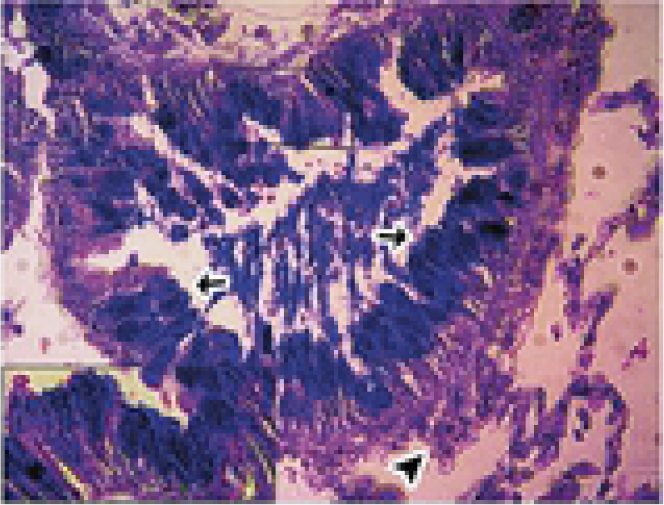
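A bronchiole whose lining shows mucous metaplasia: the epithelium consists of tall columnar cells packed with dark blue-purple material and is folded into many deep projections that nearly fill the lumen. Strands of stained material lie among the folds, and the surrounding wall contains small densely nucleated infiltrating inflammatory cells.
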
